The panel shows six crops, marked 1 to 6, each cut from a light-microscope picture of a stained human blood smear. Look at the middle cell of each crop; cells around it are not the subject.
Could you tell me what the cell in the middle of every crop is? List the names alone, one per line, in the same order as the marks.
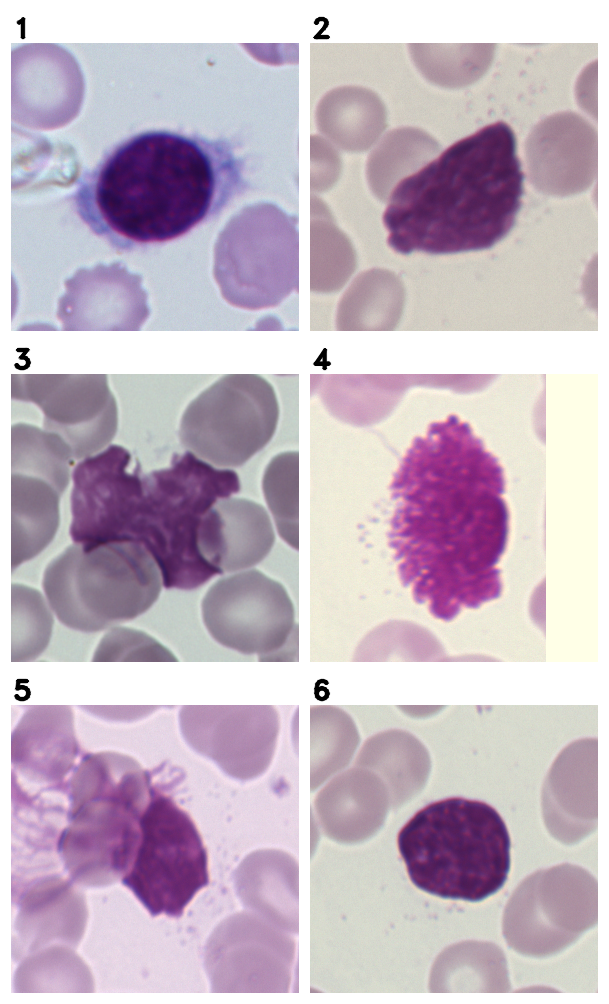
hairy cell
smudge cell
smudge cell
smudge cell
smudge cell
smudge cell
